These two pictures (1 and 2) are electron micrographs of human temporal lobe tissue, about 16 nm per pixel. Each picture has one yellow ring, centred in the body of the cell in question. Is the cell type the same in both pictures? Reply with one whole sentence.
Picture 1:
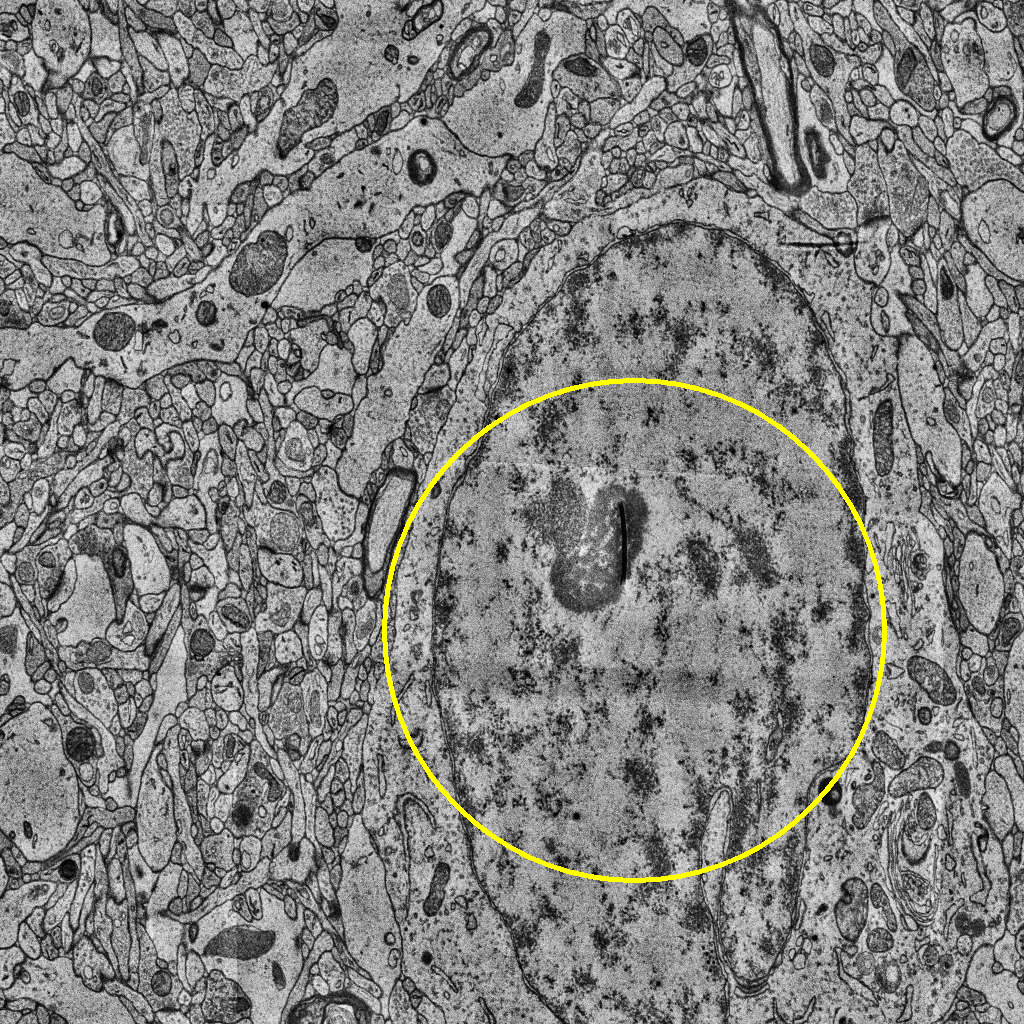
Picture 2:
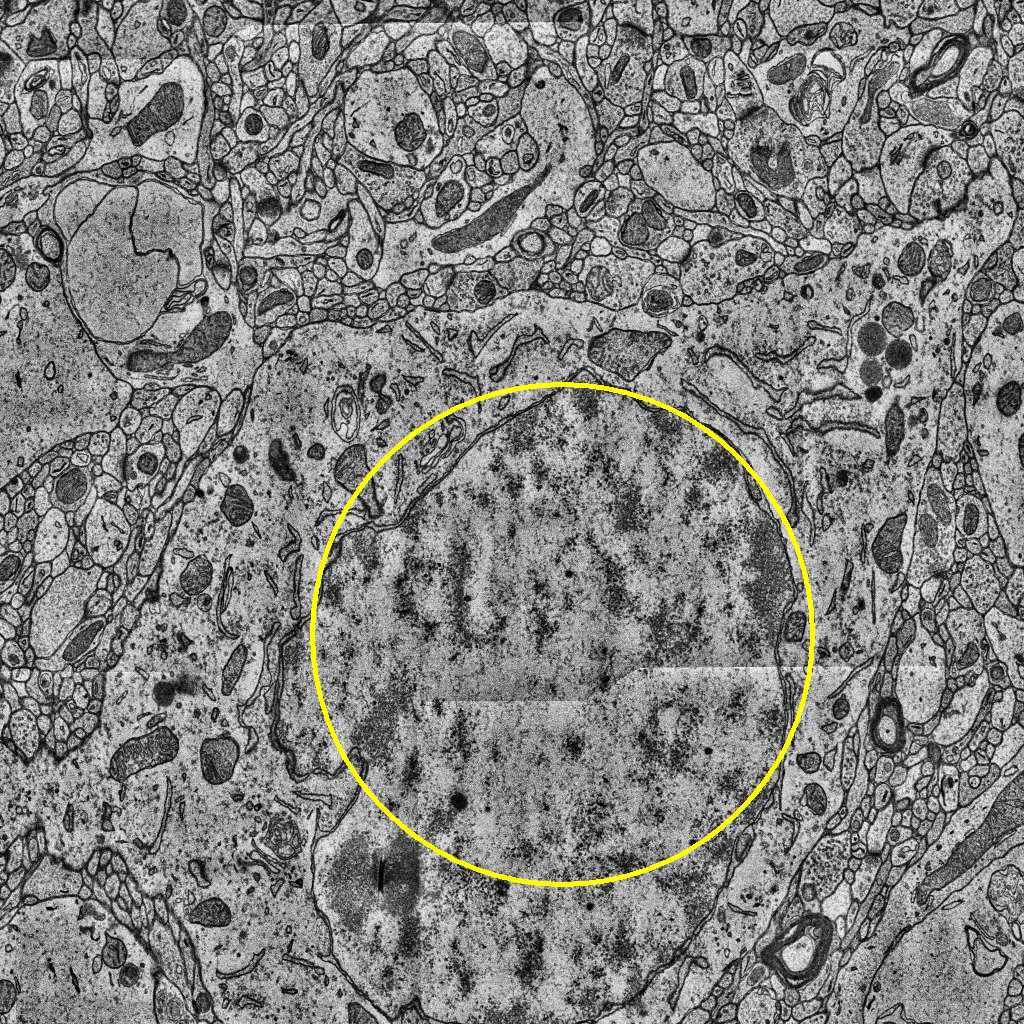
Yes, both are interneurons.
